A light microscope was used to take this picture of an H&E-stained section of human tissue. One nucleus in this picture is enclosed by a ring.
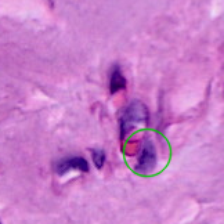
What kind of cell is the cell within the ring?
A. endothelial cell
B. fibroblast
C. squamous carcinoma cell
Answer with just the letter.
A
